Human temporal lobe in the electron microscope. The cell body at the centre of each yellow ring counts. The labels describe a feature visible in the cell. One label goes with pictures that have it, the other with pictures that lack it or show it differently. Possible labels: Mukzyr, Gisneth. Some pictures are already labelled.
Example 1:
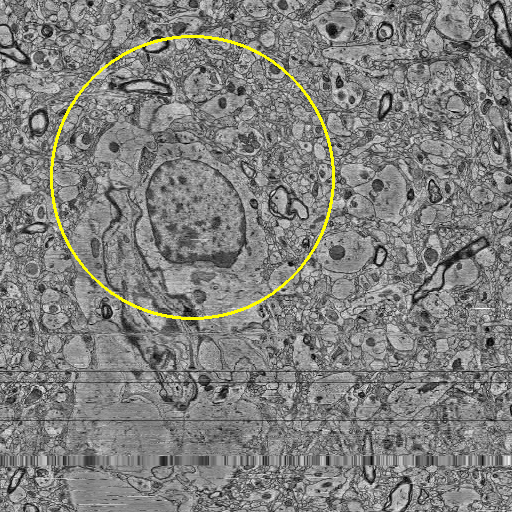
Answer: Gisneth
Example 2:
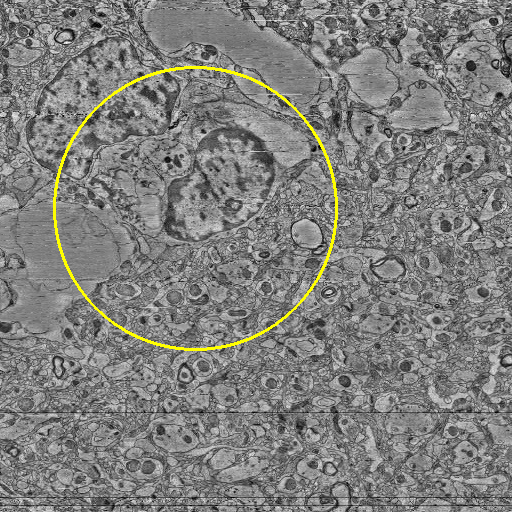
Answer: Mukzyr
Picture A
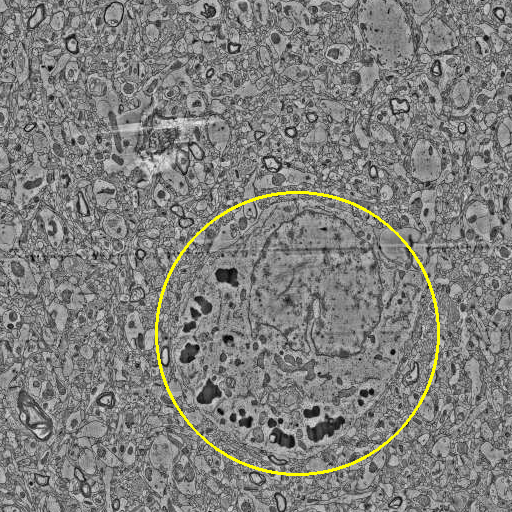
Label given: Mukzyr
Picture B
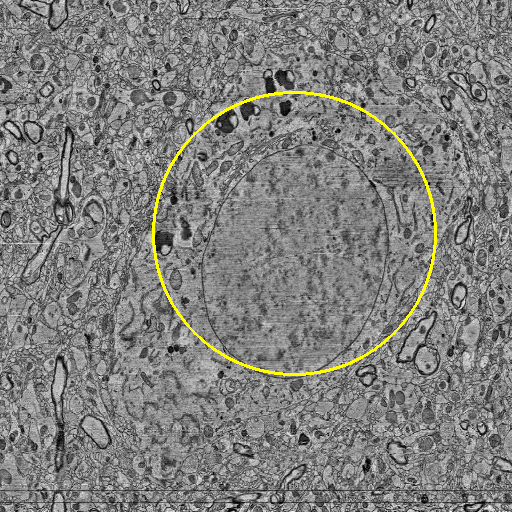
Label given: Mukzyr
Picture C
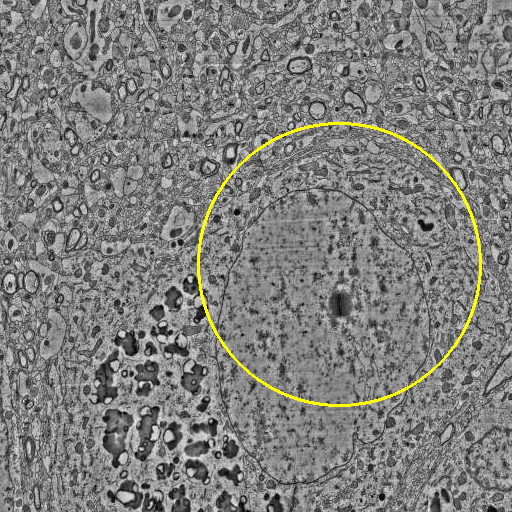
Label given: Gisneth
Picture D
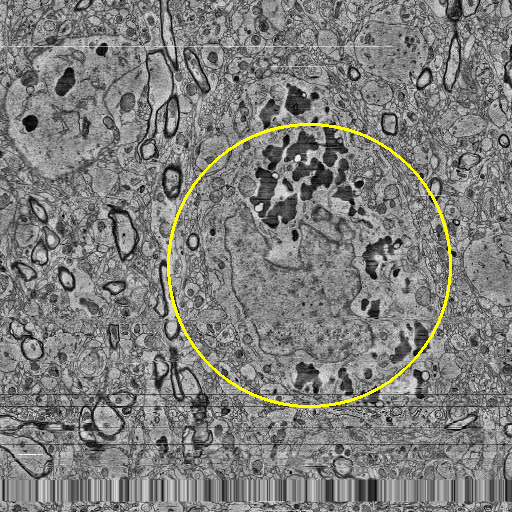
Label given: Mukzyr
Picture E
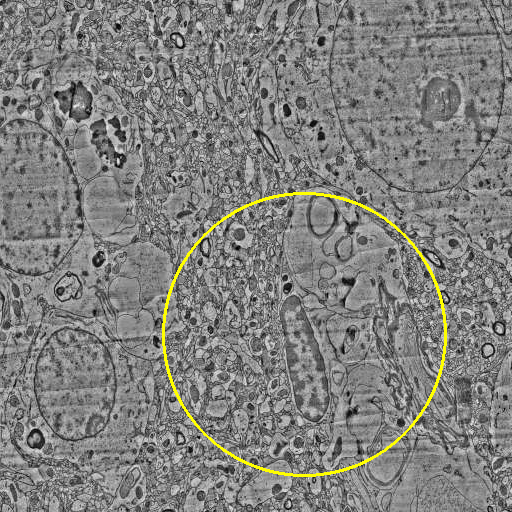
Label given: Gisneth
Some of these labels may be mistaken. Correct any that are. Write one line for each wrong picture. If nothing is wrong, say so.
B: Gisneth, not Mukzyr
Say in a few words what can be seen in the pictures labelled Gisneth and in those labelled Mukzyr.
Gisneth: smooth nuclear envelopes without deep folds; Mukzyr: deeply folded or indented nuclear envelopes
